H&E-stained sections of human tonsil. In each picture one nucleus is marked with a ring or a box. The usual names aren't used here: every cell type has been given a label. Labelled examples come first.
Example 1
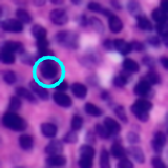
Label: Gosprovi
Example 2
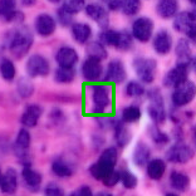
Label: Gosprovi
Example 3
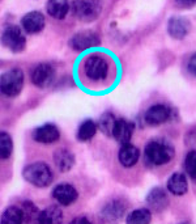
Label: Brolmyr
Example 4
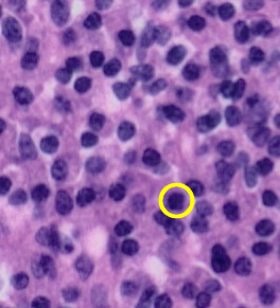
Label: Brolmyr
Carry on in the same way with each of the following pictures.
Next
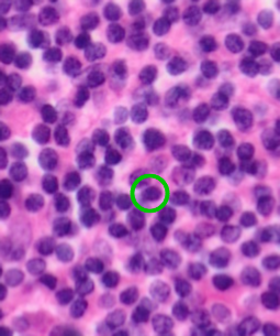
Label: Gosprovi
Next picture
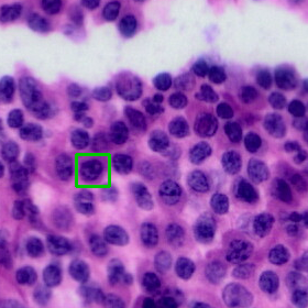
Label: Brolmyr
